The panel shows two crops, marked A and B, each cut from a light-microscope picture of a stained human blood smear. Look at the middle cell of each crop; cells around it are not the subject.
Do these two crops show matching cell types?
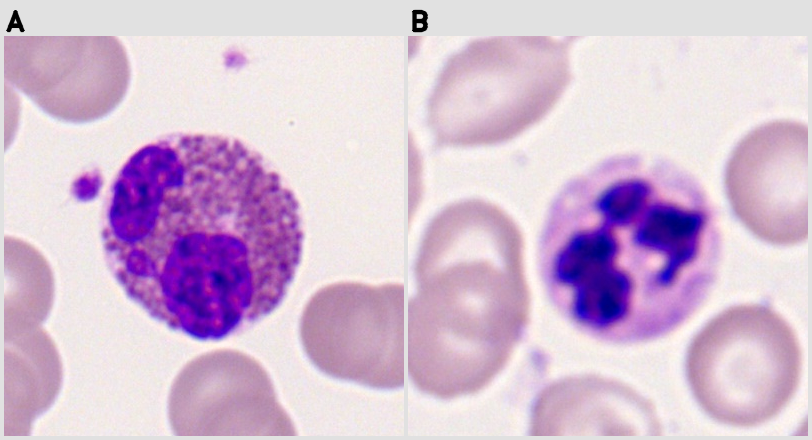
no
